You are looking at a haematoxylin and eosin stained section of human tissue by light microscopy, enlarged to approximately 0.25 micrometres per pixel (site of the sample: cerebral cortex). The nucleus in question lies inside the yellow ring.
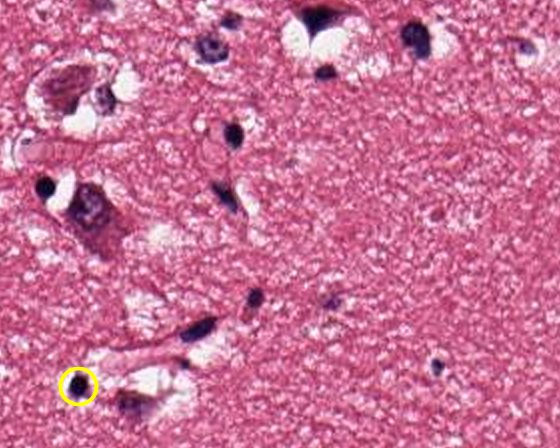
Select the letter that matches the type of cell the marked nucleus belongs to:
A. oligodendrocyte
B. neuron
A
